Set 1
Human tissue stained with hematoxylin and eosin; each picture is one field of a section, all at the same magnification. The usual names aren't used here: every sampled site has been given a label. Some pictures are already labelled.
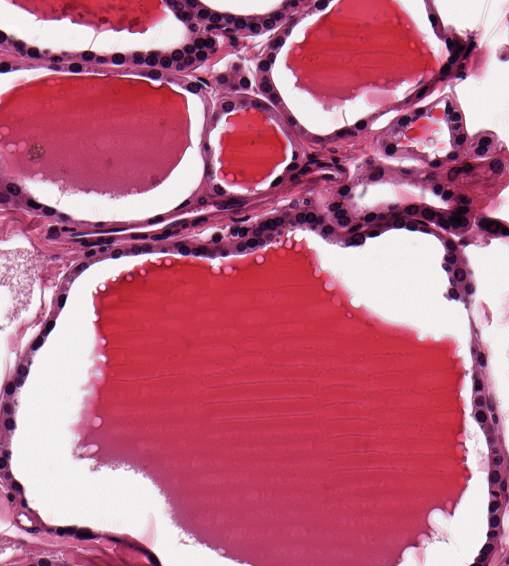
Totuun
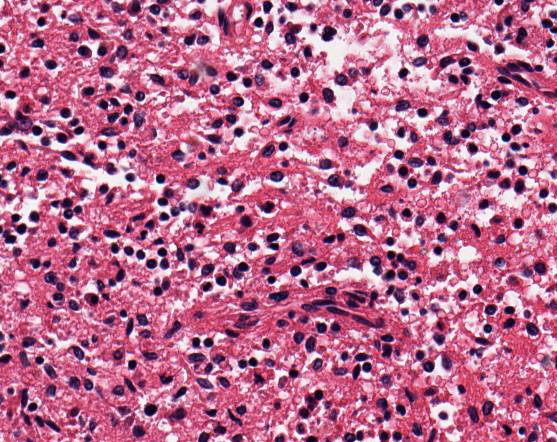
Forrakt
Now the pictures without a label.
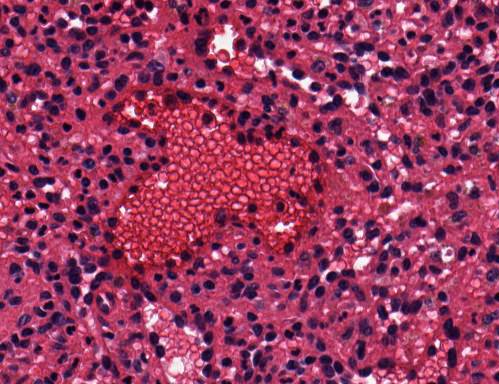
Forrakt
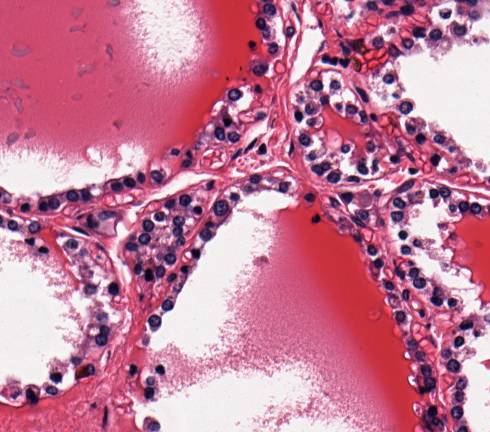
Totuun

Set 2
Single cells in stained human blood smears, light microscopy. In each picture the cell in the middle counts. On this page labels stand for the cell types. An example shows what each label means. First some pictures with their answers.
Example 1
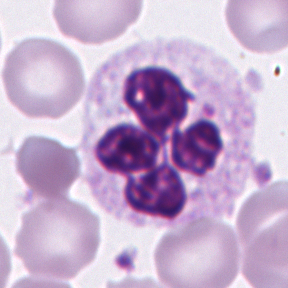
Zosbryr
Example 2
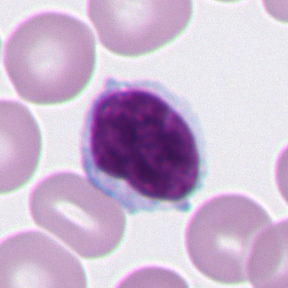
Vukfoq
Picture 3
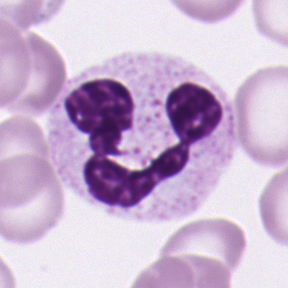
Zosbryr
